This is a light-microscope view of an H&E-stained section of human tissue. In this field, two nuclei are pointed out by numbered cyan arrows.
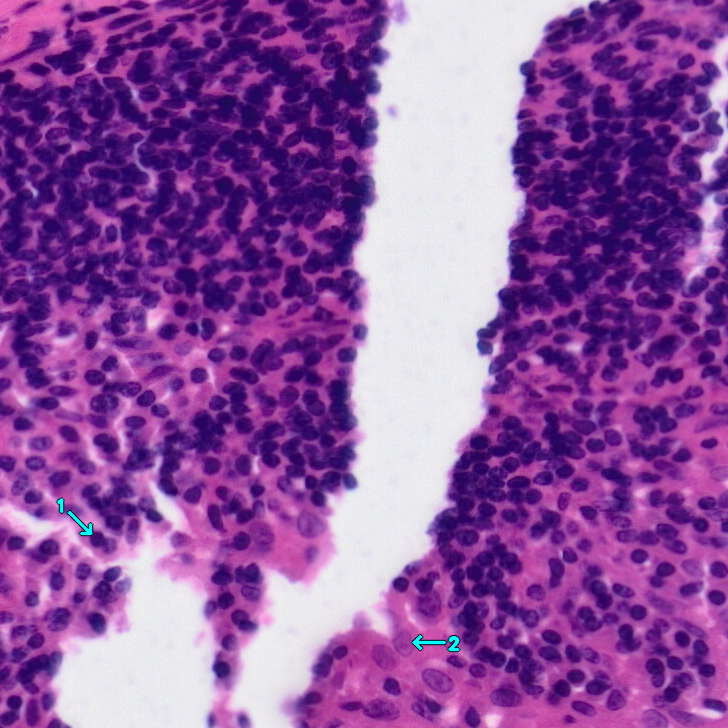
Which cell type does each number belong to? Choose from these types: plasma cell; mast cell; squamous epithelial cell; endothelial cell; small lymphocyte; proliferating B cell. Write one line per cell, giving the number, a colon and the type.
1: plasma cell
2: squamous epithelial cell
